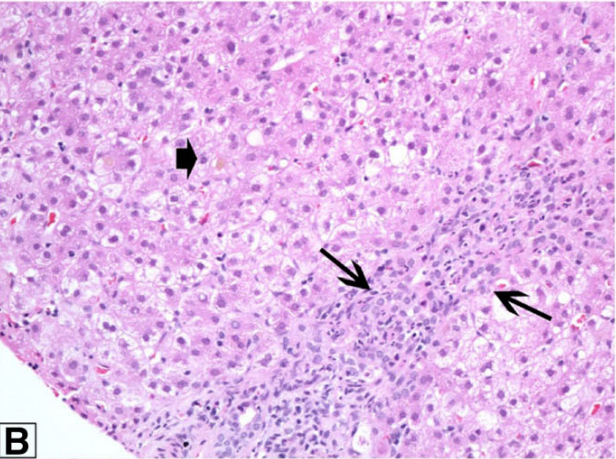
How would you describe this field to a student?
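This is liver parenchyma at high power, with hepatocytes and a cluster of proliferating bile ductular cells. The hepatocytes are large polygonal cells with round central nuclei and pink cytoplasm that is often pale and finely vacuolated, and some contain clear round fat vacuoles. A small yellow-brown deposit of bile lies between hepatocytes in the upper part of the field. Toward the lower right, small cells with dark oval nuclei and scant cytoplasm crowd together in ductule-like groups at the edge of the hepatocyte plates. Scattered inflammatory cells and red blood cells in sinusoids are also seen.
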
